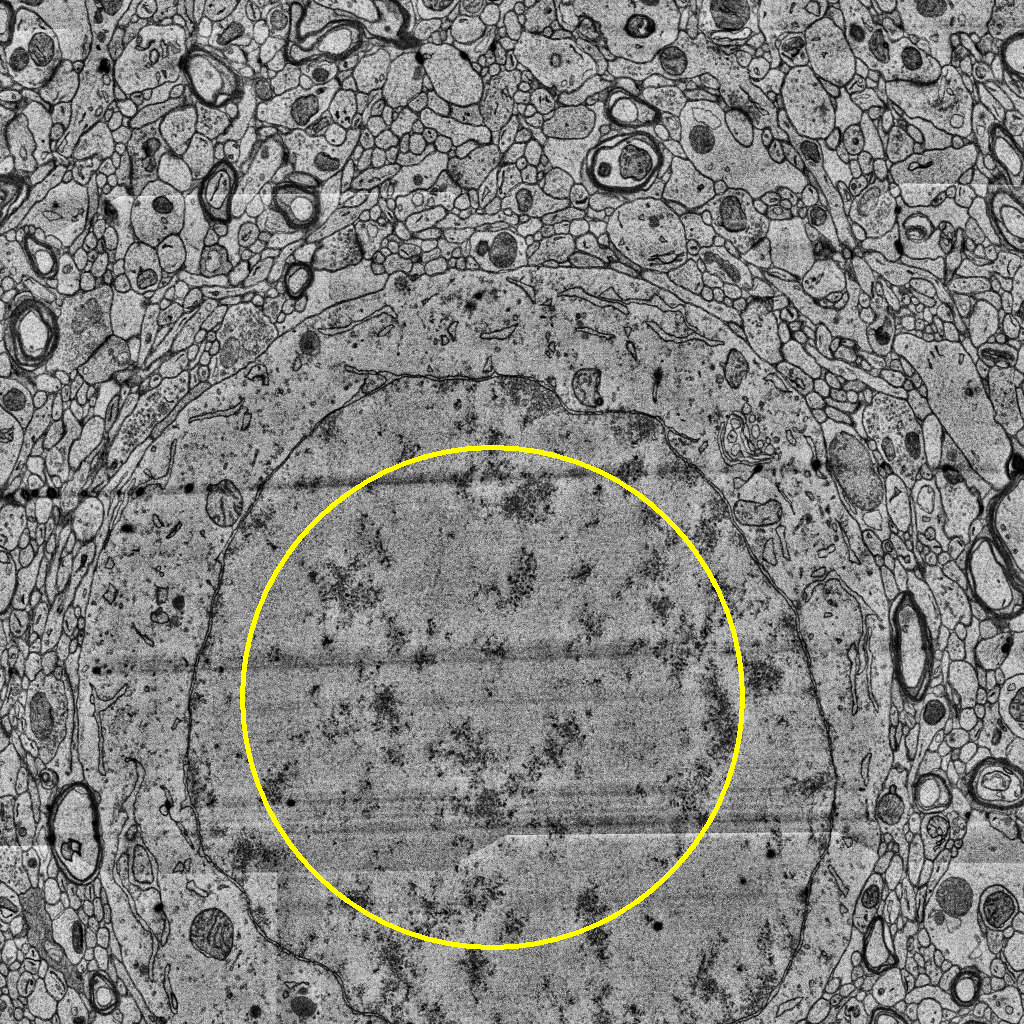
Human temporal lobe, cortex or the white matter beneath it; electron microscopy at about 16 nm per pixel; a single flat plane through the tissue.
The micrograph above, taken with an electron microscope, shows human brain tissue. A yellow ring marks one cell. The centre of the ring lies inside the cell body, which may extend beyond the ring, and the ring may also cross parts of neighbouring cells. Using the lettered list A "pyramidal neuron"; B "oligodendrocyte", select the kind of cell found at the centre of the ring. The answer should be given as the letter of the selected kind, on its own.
A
